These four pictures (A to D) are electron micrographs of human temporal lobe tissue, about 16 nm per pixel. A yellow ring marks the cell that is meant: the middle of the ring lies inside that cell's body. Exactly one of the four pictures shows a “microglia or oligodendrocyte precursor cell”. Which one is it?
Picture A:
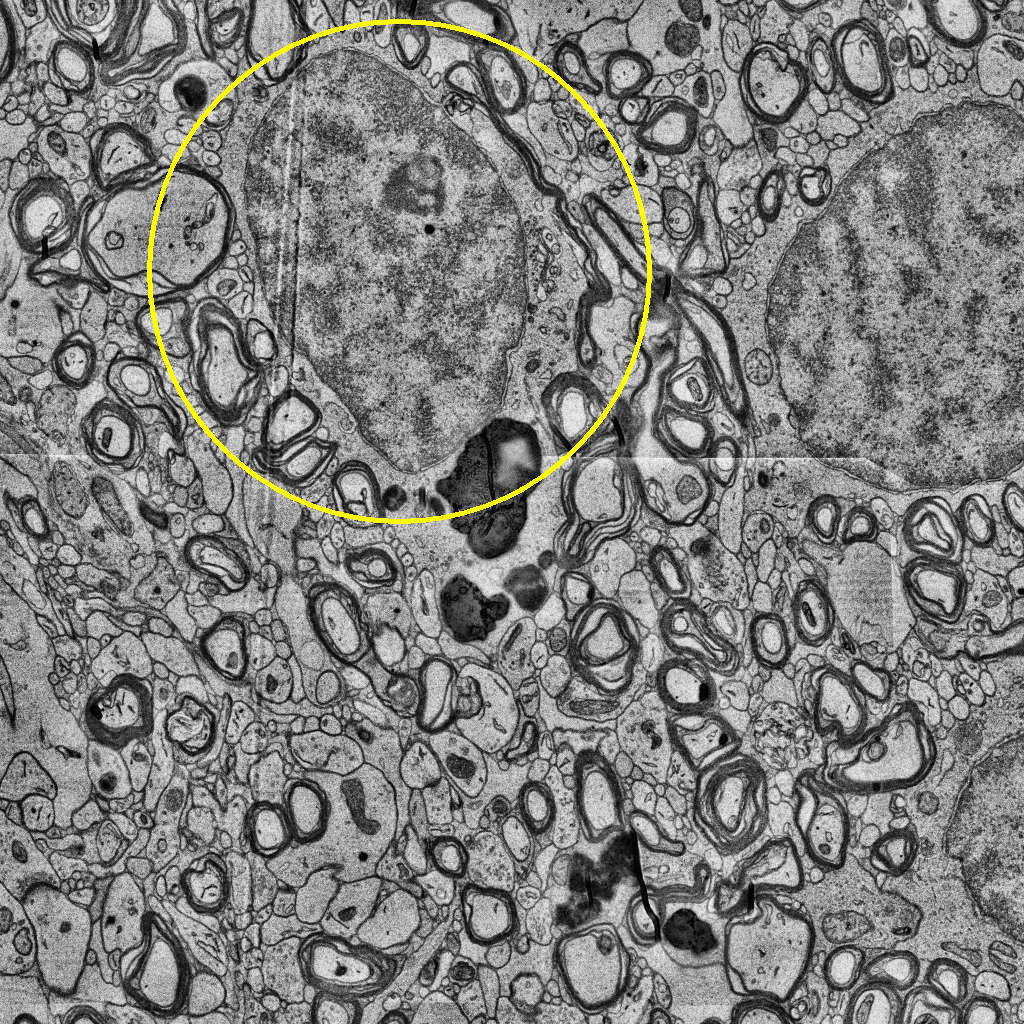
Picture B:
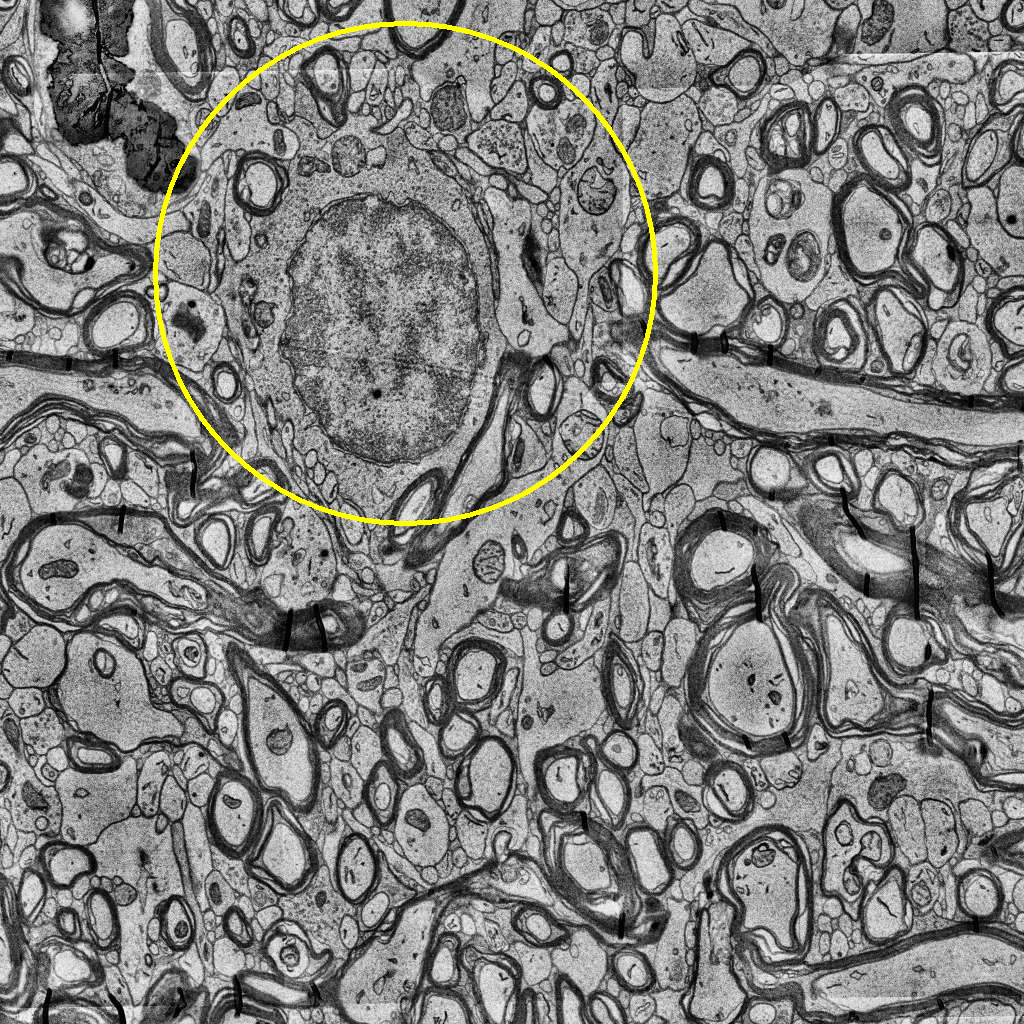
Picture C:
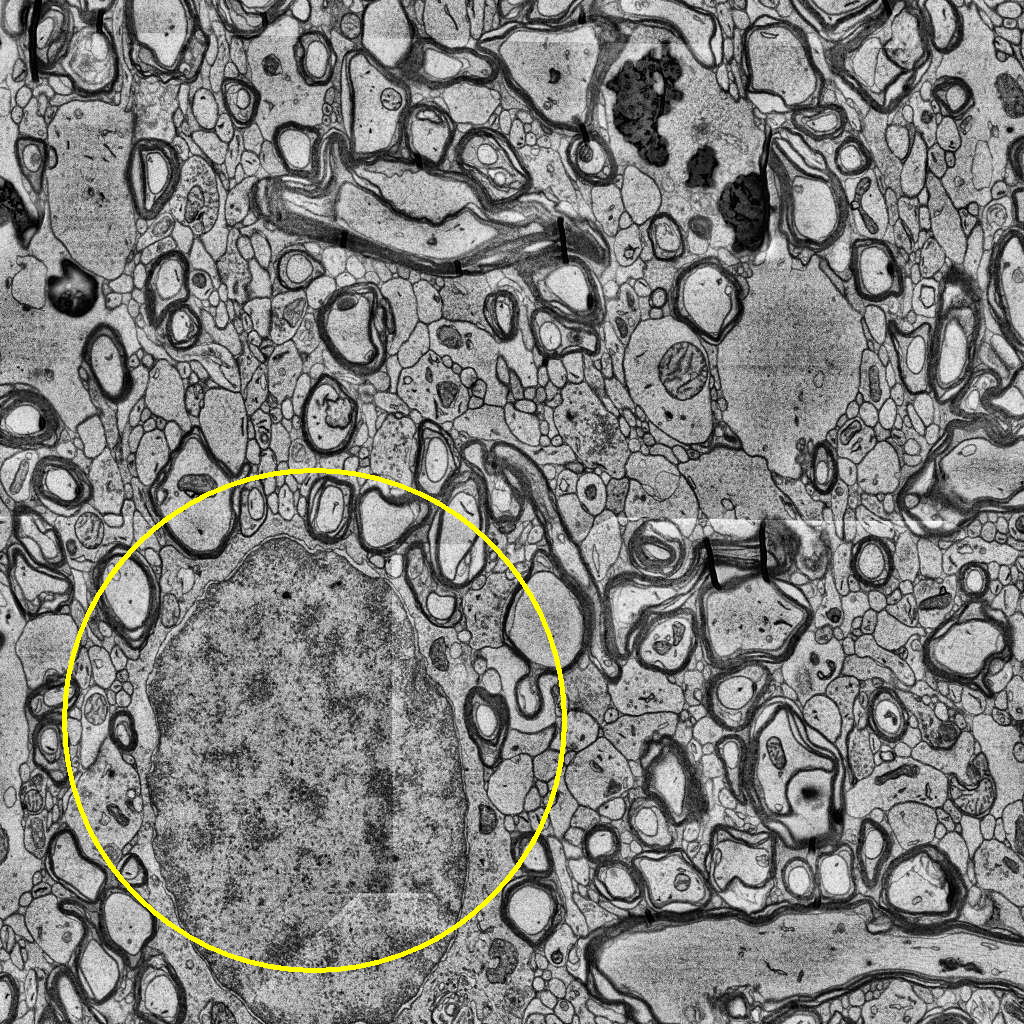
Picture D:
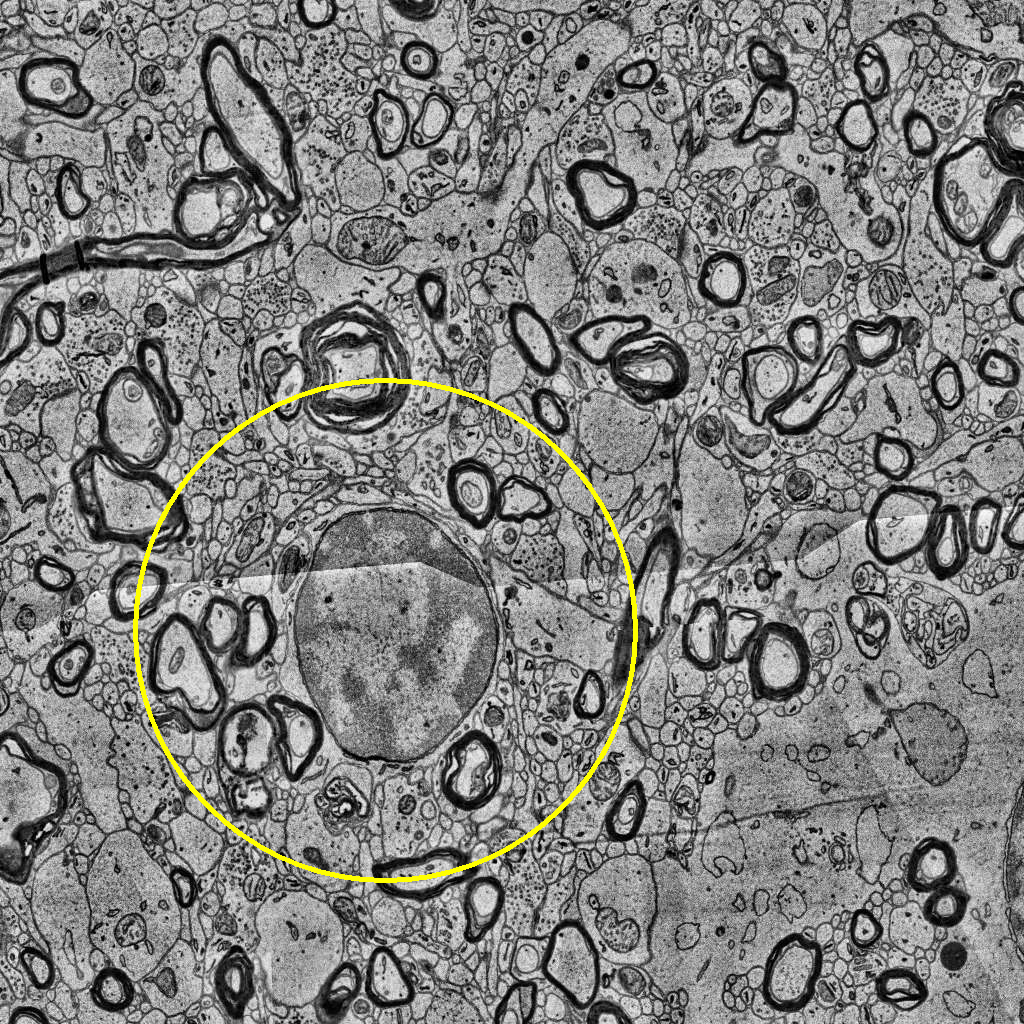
It is picture D that shows the “microglia or oligodendrocyte precursor cell”.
